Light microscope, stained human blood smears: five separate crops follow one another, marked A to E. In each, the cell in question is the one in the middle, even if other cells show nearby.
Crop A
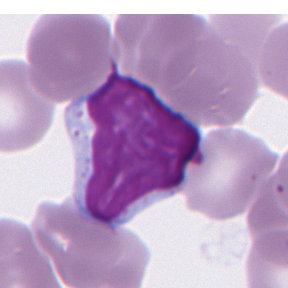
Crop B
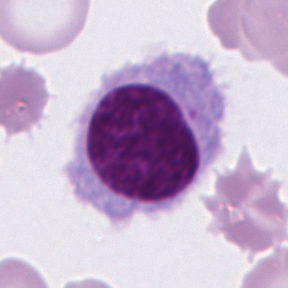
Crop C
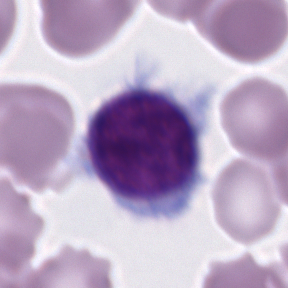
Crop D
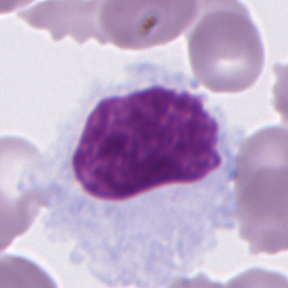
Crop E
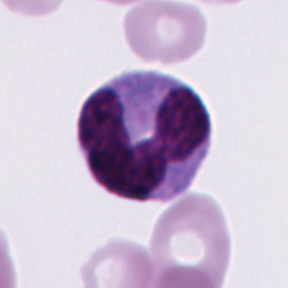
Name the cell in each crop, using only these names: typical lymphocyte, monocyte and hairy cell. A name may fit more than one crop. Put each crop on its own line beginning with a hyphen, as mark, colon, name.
- A: typical lymphocyte
- B: hairy cell
- C: hairy cell
- D: hairy cell
- E: monocyte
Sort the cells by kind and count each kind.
hairy cell: 3
typical lymphocyte: 1
monocyte: 1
